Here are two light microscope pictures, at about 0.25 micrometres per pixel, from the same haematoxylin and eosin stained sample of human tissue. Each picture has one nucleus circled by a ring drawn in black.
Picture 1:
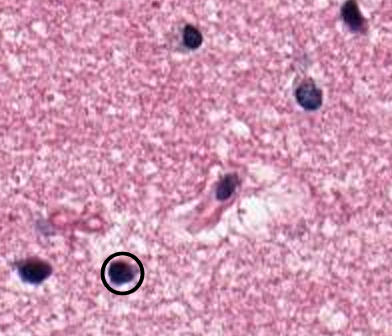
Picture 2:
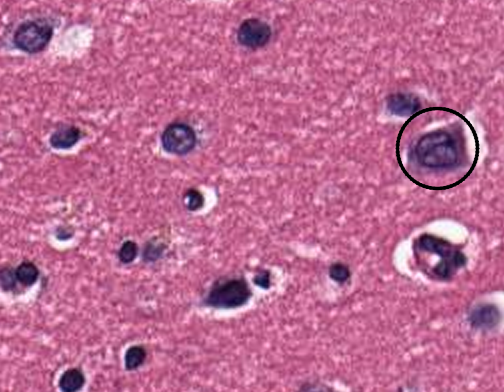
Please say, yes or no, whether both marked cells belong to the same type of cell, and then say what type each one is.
No, the first is an oligodendrocyte and the second a neuron.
